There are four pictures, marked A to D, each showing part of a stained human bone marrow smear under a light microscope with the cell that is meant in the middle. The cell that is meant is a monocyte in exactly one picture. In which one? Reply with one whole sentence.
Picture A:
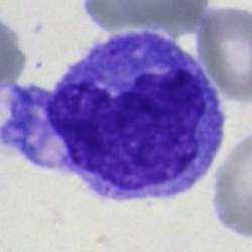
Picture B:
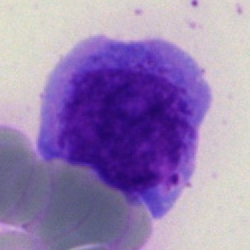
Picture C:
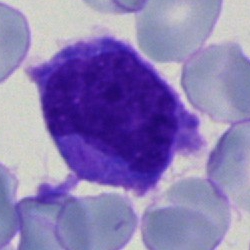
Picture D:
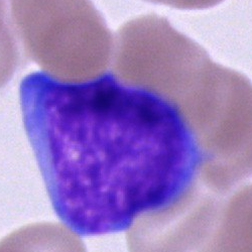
Picture A shows the monocyte.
